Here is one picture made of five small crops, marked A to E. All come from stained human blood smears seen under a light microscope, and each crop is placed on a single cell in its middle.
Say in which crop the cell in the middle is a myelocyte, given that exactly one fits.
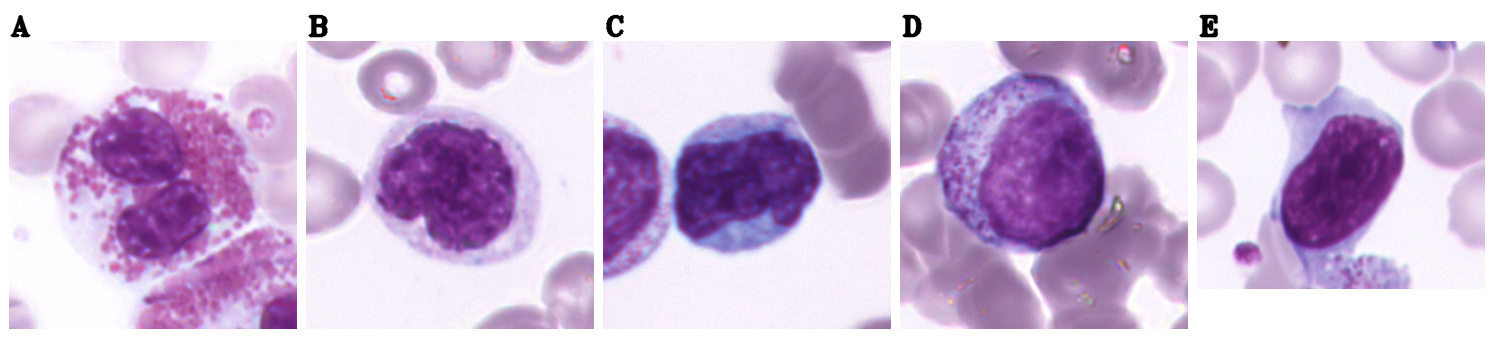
D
